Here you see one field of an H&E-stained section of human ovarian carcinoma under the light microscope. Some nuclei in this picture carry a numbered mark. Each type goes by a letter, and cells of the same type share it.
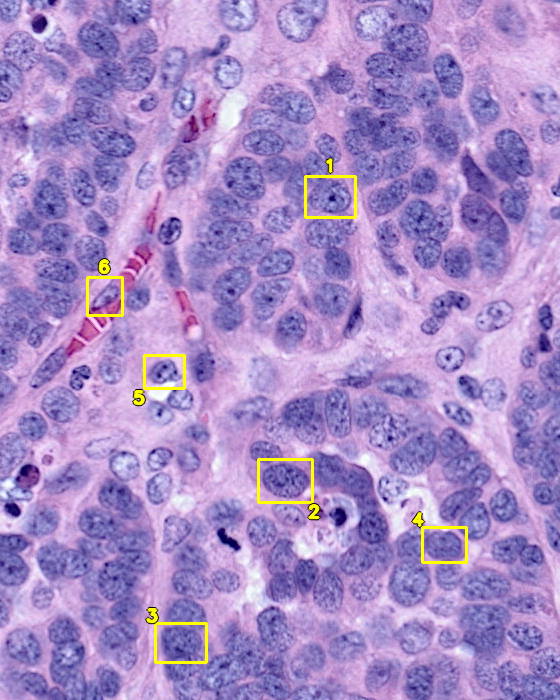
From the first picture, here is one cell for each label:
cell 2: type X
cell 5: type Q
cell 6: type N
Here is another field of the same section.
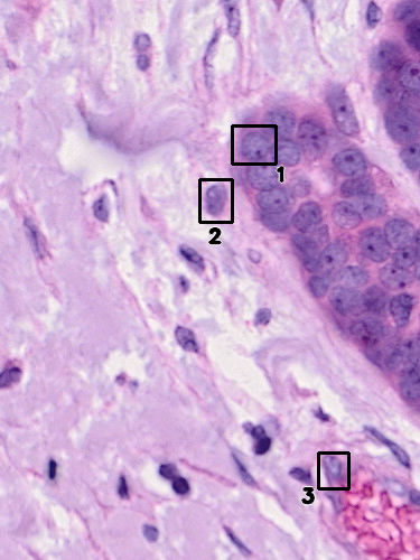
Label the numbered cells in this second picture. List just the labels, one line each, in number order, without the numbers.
type X
type Q
type N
